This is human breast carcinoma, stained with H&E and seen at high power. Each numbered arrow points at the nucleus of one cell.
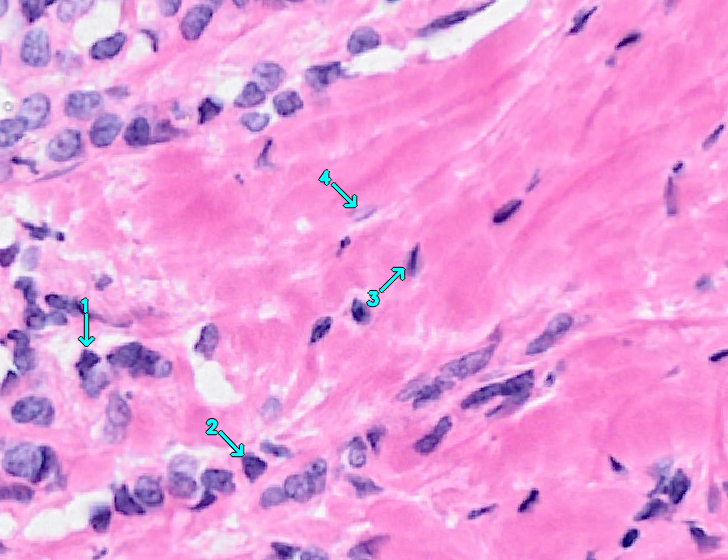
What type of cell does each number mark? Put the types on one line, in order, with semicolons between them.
carcinoma cell; lymphocyte; fibroblast; fibroblast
